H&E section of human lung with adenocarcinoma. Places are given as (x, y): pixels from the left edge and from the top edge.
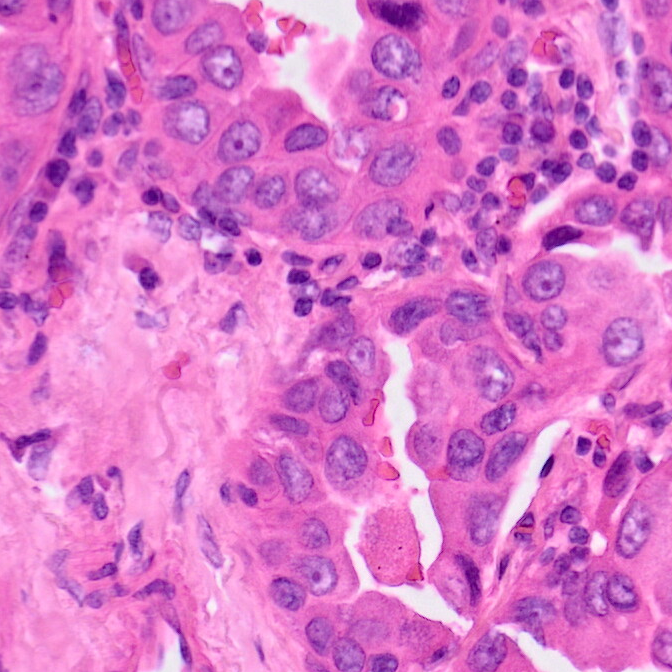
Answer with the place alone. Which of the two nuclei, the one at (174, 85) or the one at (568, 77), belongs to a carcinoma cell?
(174, 85)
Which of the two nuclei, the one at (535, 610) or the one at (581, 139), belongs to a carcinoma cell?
(535, 610)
